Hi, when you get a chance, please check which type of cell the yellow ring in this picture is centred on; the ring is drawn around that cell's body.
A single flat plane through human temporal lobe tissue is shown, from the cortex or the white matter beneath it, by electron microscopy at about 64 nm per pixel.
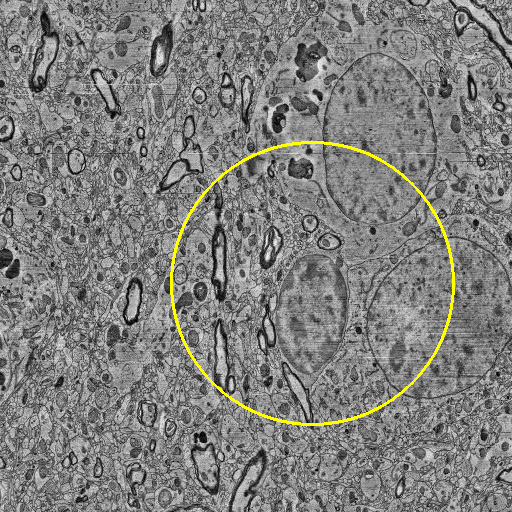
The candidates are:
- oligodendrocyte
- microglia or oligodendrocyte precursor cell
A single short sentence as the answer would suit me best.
The ring is drawn around the body of an oligodendrocyte.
